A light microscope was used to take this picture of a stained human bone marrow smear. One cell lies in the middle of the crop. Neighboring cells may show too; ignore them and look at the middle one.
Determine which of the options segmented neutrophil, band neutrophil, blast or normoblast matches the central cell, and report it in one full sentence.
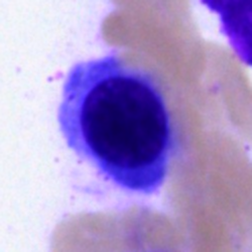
Occupying the centre of the crop is a normoblast.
